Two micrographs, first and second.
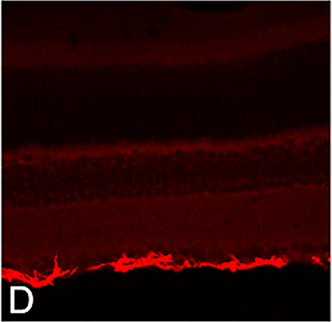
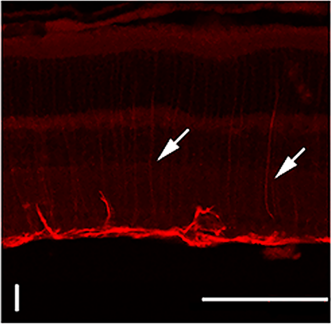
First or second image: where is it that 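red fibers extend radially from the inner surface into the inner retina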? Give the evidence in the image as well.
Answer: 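Second image: thin red vertical fibers cross the inner layers above the bright innermost band. First image: red label is confined to the band at the inner surface, with no radial fibers. On this evidence: the second image.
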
